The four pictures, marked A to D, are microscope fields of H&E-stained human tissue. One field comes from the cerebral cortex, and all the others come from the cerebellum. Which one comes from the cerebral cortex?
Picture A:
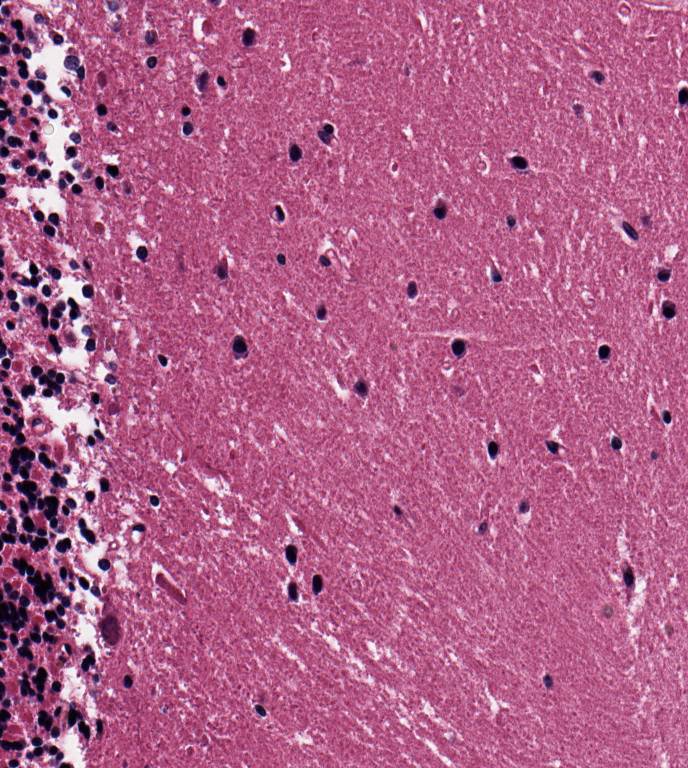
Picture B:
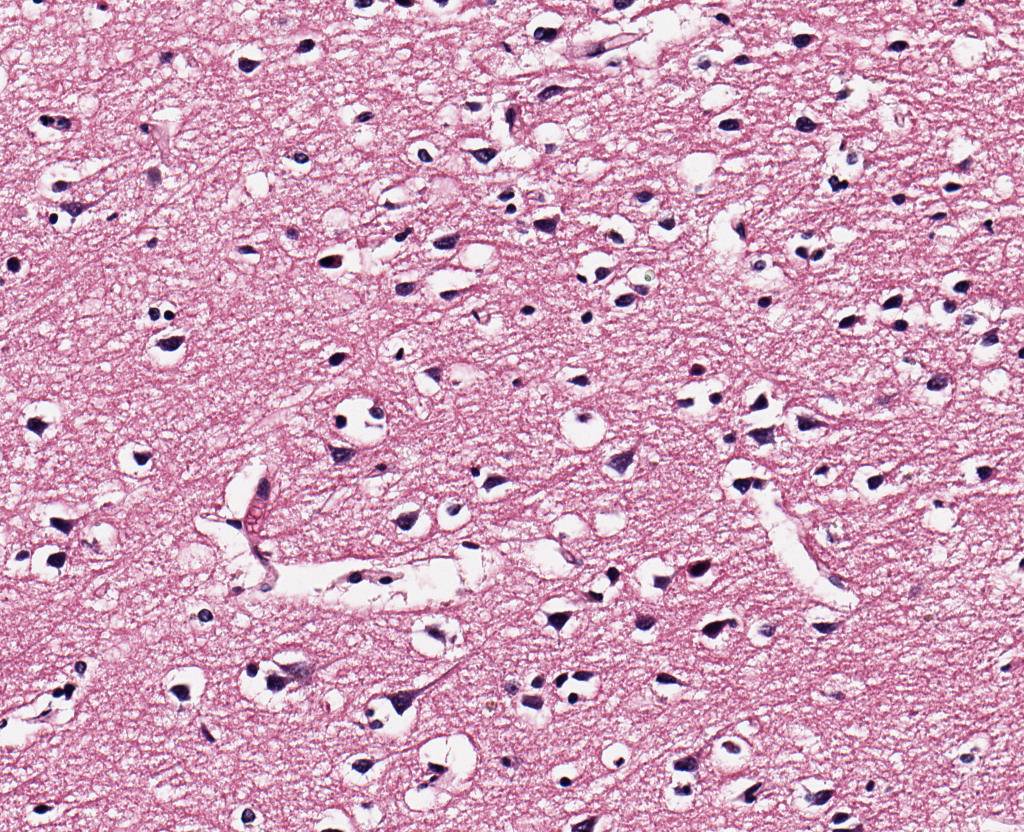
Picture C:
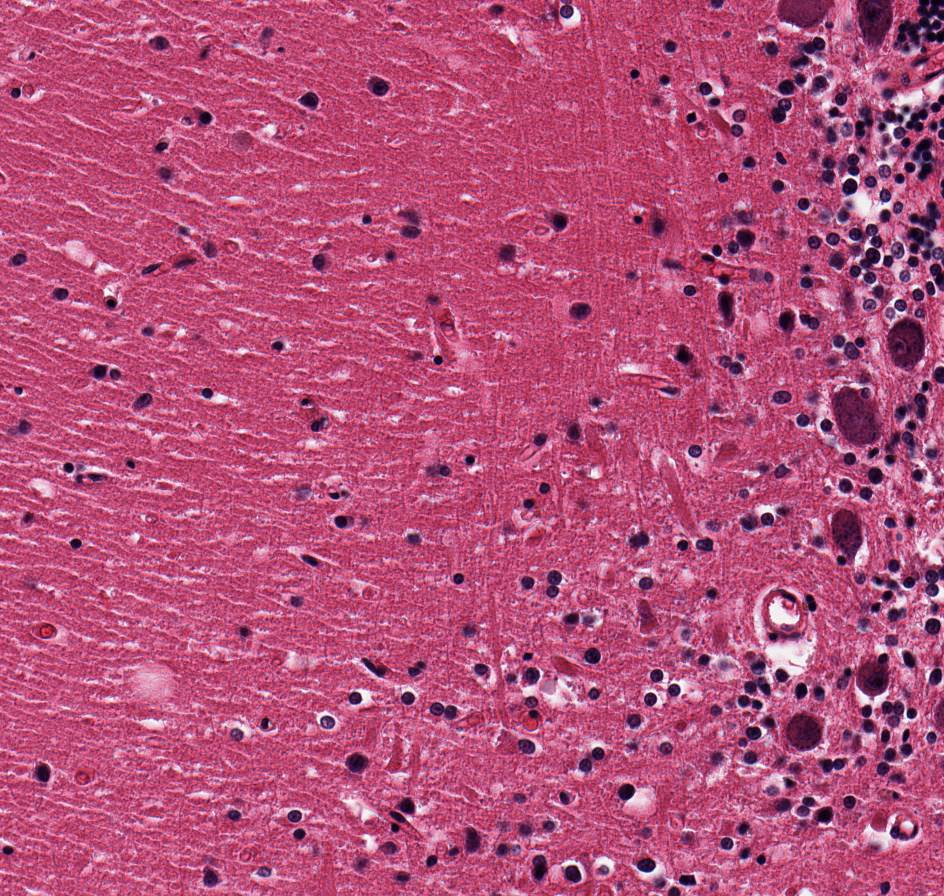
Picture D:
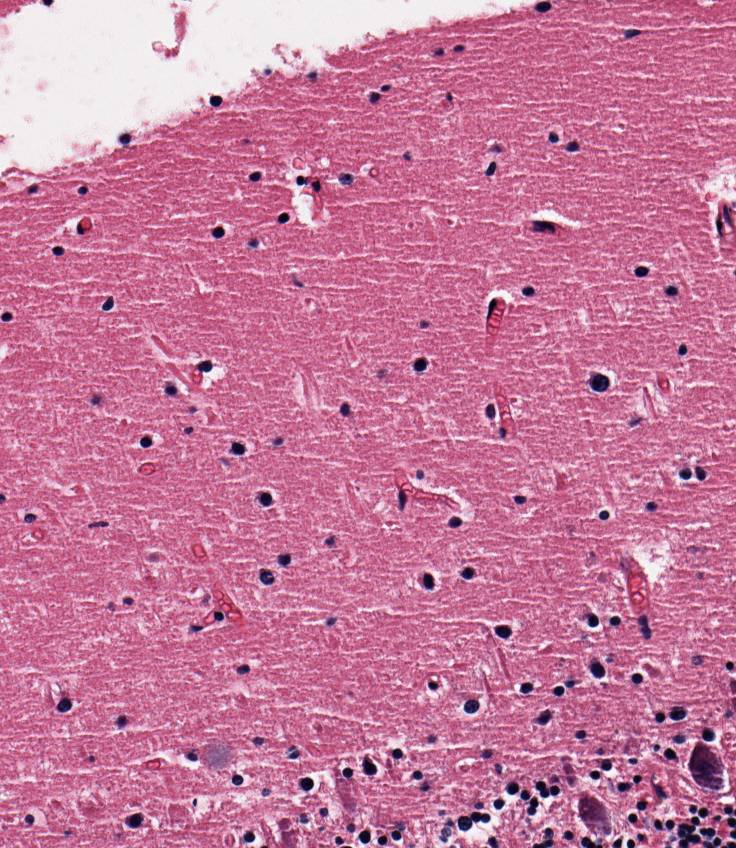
B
